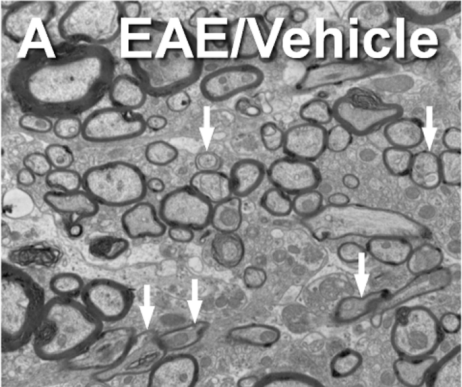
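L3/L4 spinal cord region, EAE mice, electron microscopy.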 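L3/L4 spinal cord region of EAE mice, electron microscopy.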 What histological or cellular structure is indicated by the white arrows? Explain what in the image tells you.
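The arrowed axons have a thin dark rim. Nearby axons carry much thicker dark rings.
Hence: remyelinating axons.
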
